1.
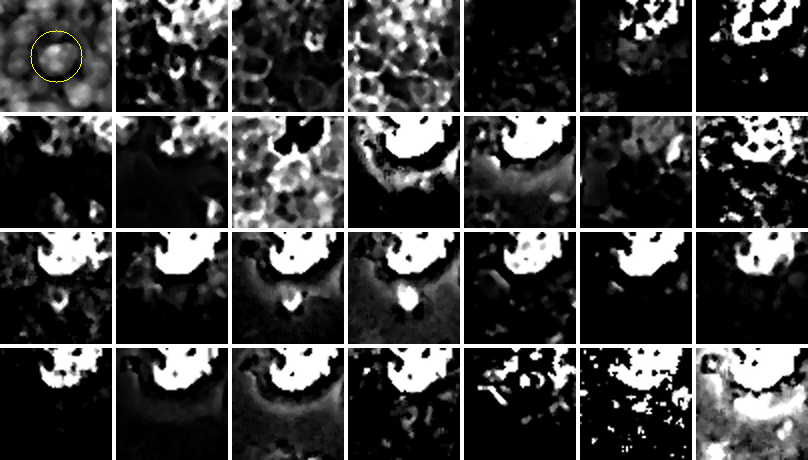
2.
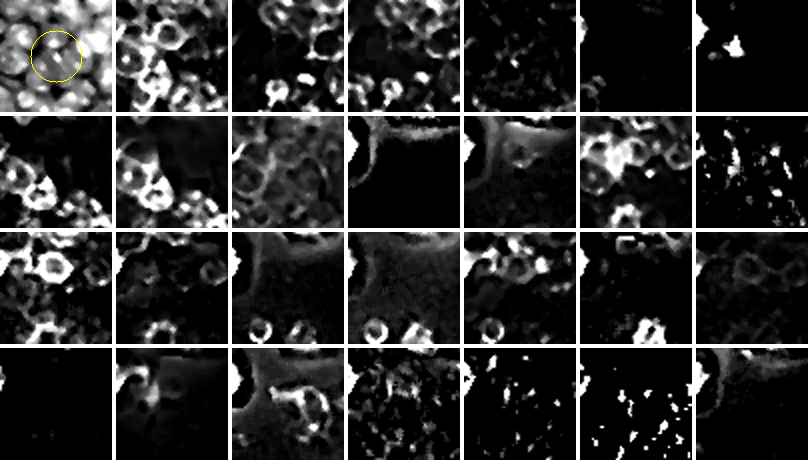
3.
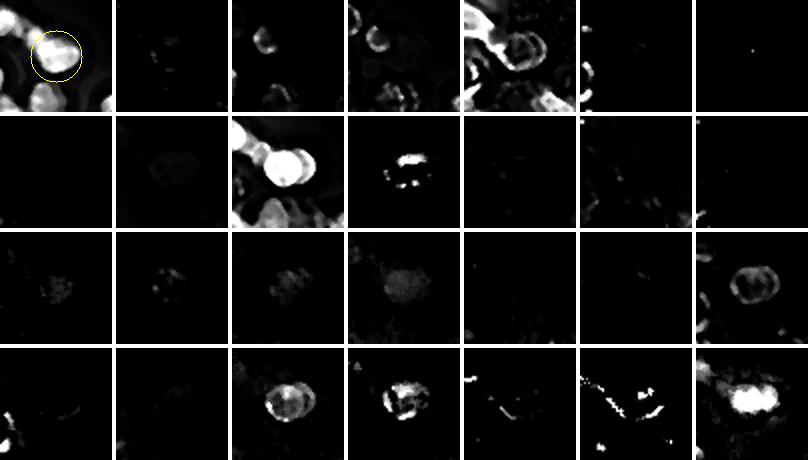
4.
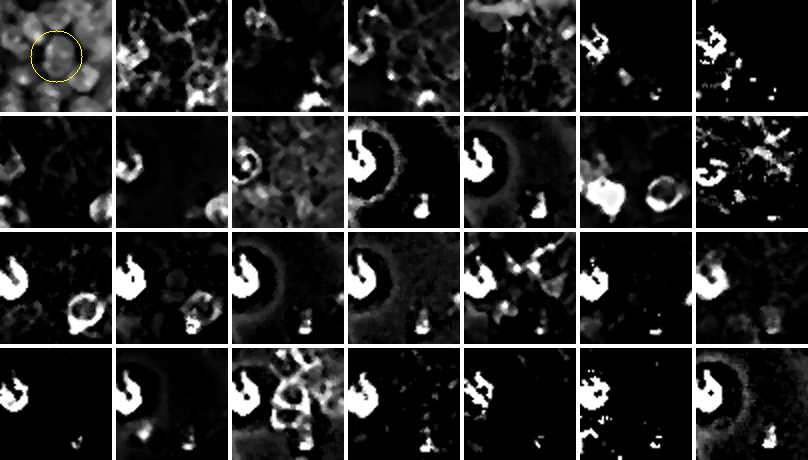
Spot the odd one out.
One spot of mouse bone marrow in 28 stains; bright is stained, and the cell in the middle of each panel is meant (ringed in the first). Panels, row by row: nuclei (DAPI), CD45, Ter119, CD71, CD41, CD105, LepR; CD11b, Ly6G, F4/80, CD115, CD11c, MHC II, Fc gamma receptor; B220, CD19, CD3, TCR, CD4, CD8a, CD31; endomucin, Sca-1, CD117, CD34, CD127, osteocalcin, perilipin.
Picture 1 (a double-negative T cell among megakaryocyte-erythroid progenitors).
